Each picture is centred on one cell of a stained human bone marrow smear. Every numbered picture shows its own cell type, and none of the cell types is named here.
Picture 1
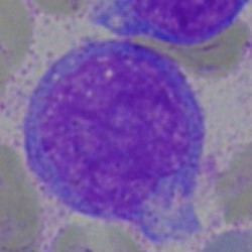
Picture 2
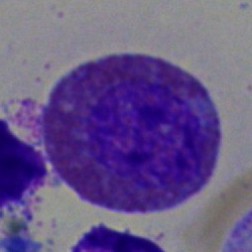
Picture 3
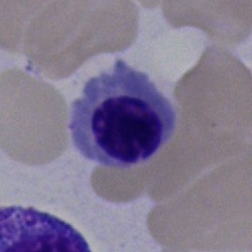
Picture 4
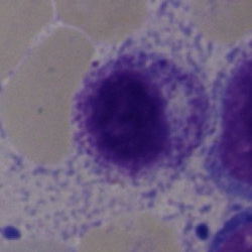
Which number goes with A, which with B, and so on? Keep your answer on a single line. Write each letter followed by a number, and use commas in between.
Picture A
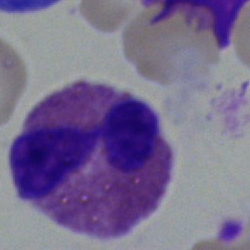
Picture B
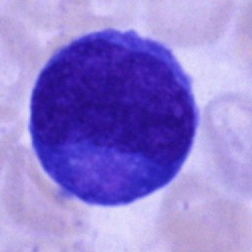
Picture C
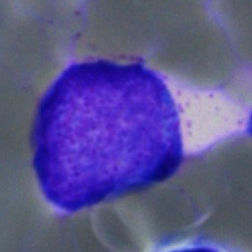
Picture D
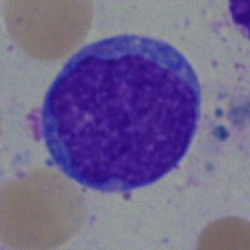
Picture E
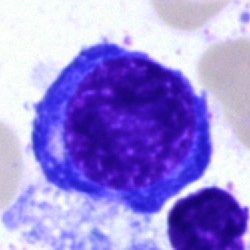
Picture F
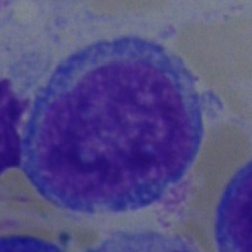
A 2, B 1, C 1, D 1, E 3, F 1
